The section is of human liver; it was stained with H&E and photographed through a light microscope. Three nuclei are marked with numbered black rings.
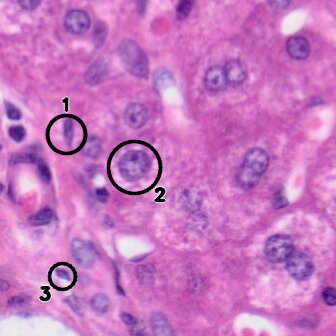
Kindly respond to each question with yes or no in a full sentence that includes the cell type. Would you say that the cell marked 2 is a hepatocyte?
Yes, cell number 2 is identified here as a hepatocyte.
